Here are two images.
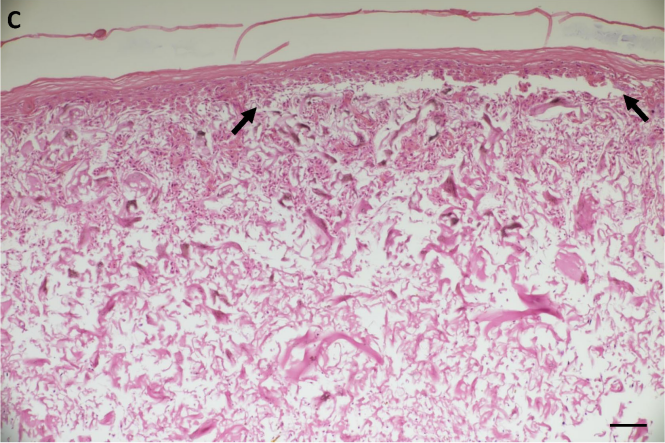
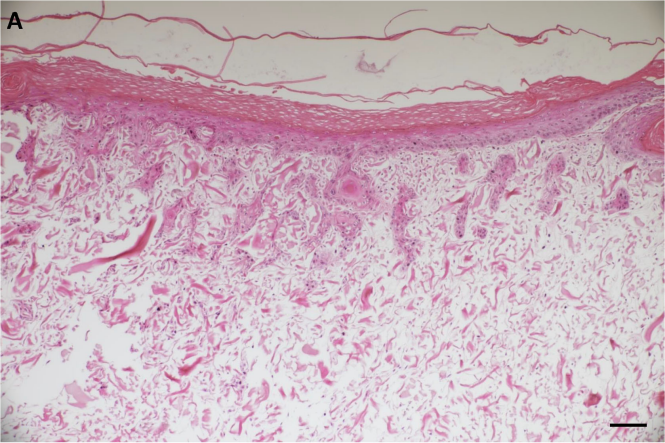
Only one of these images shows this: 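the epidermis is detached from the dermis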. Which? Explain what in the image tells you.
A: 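The first image. First image: a thin surface layer is lifted off with a gap over the fibrous tissue. Second image: a continuous layered epithelium with basal nuclei sits firmly on the fibrous tissue.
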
